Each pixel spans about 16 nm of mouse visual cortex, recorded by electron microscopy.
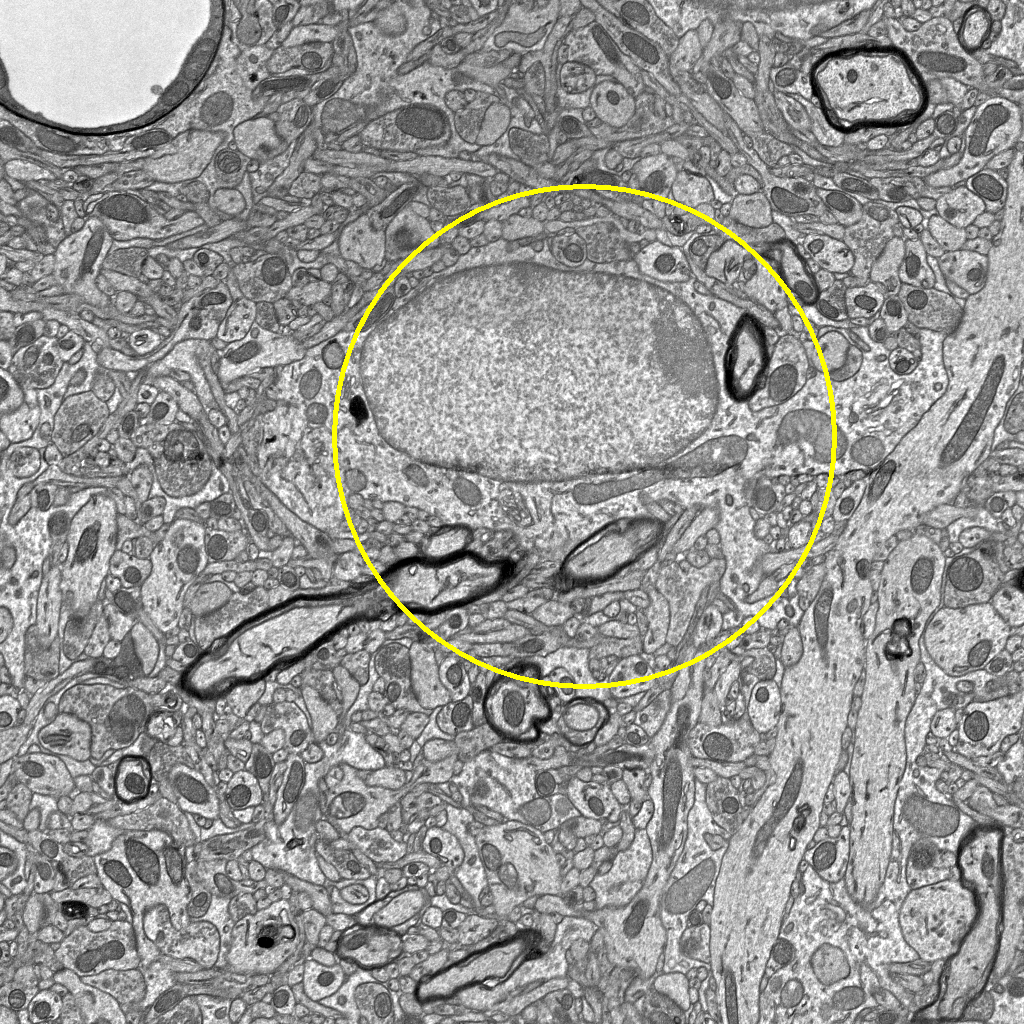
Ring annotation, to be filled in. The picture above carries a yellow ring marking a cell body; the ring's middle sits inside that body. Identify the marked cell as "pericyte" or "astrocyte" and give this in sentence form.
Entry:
The cell at the middle of the ring is an astrocyte.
